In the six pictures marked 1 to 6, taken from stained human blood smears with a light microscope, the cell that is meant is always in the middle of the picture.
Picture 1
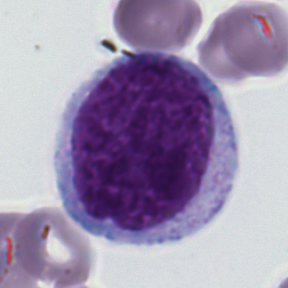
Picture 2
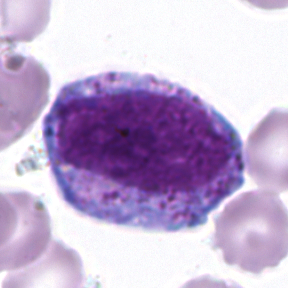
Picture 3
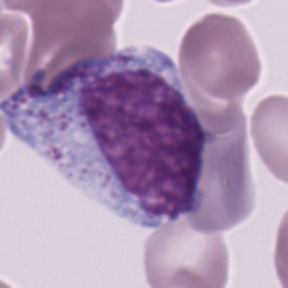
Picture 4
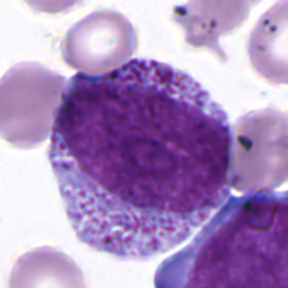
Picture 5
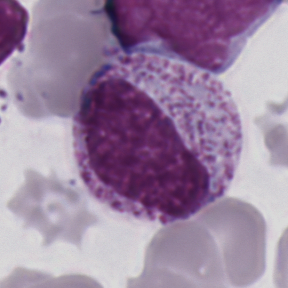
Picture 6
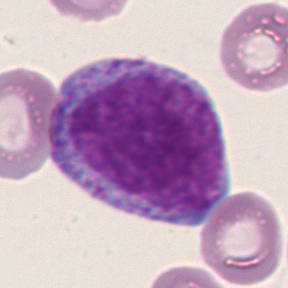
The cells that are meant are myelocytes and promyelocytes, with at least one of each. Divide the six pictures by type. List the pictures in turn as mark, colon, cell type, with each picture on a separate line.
1: promyelocyte
2: promyelocyte
3: myelocyte
4: promyelocyte
5: myelocyte
6: promyelocyte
